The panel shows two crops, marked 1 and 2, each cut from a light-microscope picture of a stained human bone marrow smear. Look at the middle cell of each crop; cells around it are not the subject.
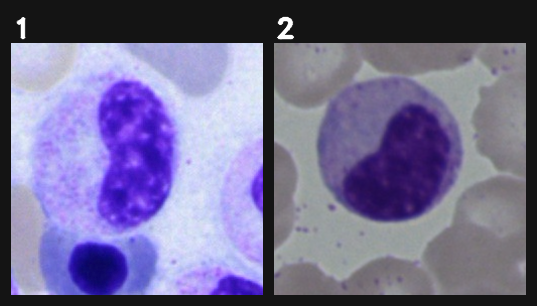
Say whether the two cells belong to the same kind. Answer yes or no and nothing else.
yes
